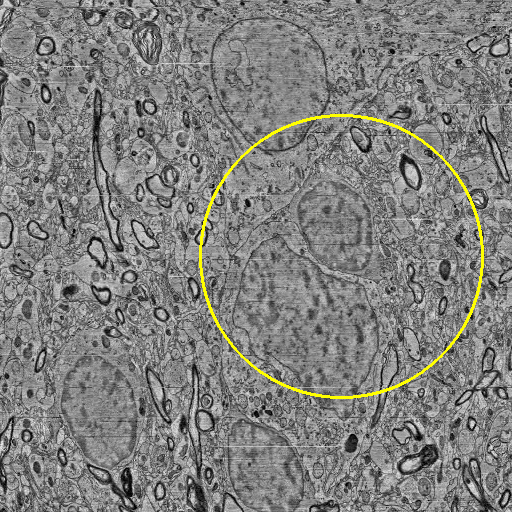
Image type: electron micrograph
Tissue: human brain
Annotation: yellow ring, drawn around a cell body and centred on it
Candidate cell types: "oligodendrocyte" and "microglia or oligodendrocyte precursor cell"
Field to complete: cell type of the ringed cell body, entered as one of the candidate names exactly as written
oligodendrocyte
